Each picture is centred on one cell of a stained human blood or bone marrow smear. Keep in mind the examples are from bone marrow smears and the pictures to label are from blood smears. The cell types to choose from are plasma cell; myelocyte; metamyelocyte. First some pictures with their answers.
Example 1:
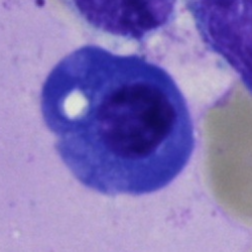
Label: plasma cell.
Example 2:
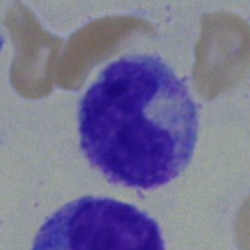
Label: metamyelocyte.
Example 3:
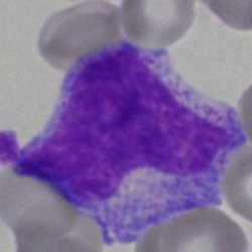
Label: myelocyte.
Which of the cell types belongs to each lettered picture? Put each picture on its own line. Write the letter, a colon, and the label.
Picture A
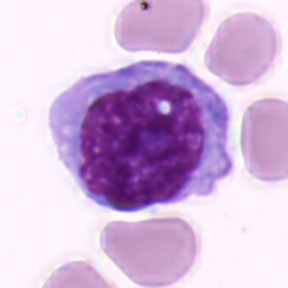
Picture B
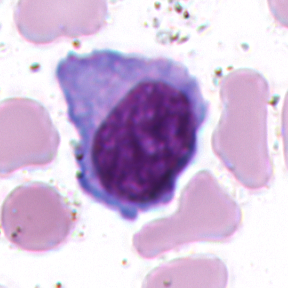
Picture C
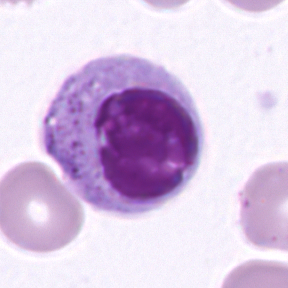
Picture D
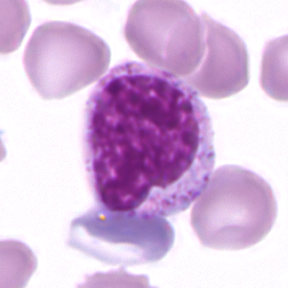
A: plasma cell.
B: plasma cell.
C: plasma cell.
D: metamyelocyte.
